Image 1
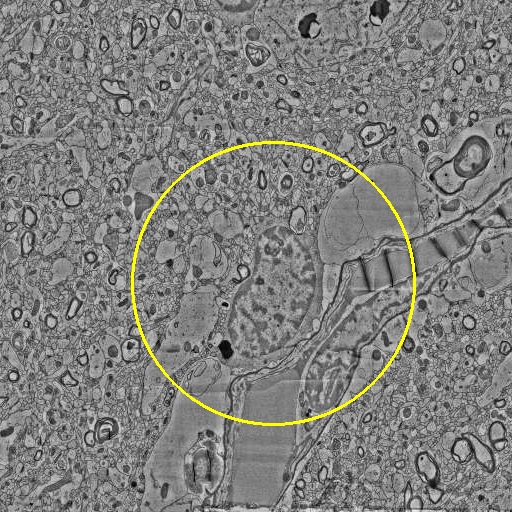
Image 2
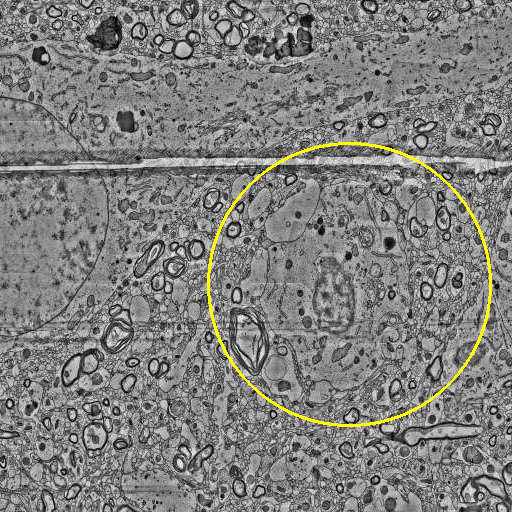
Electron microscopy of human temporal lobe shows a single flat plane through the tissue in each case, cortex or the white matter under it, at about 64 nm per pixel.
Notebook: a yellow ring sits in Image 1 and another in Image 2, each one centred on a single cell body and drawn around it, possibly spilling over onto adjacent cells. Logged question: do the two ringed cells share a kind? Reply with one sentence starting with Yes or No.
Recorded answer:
No, the centre cells inside the rings of Image 1 and Image 2 are of two kinds.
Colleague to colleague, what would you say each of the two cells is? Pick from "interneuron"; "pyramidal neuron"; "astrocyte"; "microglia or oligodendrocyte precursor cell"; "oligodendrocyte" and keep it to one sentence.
The cell in the first picture is an oligodendrocyte; the second picture's cell is an interneuron.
